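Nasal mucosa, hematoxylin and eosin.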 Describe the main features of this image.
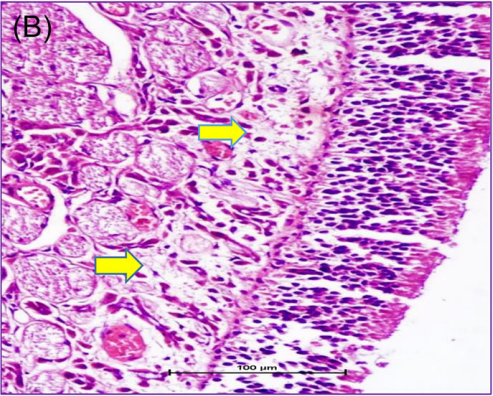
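A band of tall, crowded epithelial cells with dark-purple, elongated nuclei runs along one side. Beneath it, rounded gland profiles sit in pale, loose stroma with wide clear gaps between the fibres and cells. The pale, widened stroma is edema, fluid gathered in the interstitium.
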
